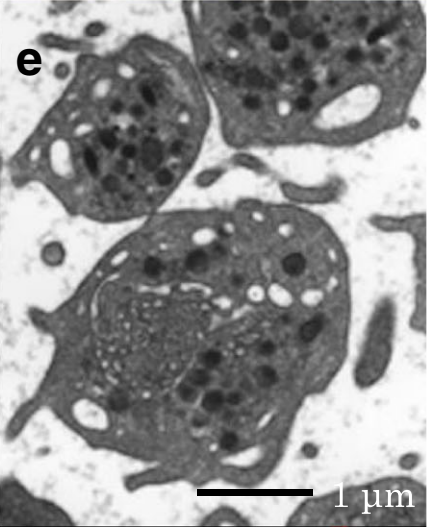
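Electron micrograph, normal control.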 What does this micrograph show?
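Thin sections of platelets are shown in transmission electron microscopy, each an irregular anucleate cell fragment with short projections. Their cytoplasm is packed with numerous round, dark, dense granules of fairly similar size. Scattered clear vesicles and channel-like spaces lie among the granules. The platelets sit close together, with thin elongated profiles in the spaces between them.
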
